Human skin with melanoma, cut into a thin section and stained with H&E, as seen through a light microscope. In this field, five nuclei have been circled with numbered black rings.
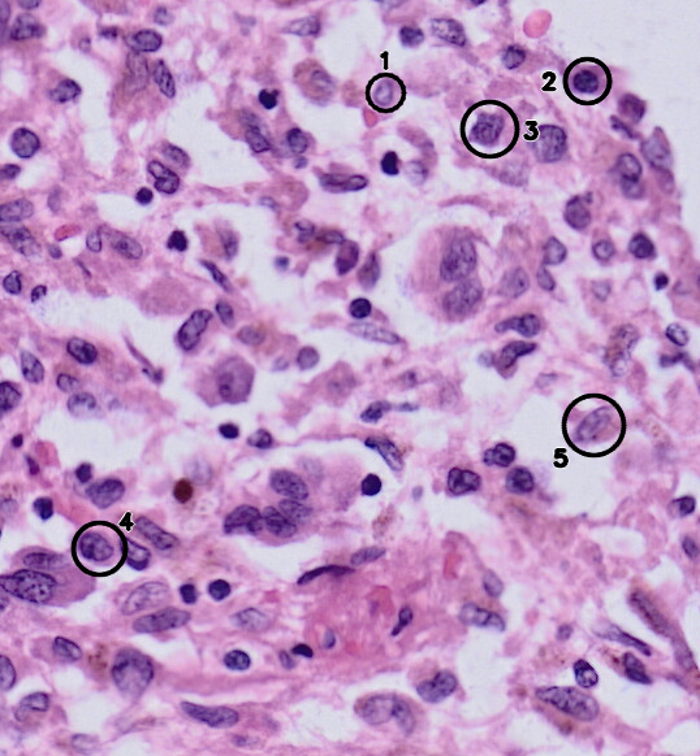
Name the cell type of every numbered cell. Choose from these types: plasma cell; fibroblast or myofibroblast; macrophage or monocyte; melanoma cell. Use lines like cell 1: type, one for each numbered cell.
cell 1: macrophage or monocyte
cell 2: plasma cell
cell 3: melanoma cell
cell 4: macrophage or monocyte
cell 5: macrophage or monocyte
